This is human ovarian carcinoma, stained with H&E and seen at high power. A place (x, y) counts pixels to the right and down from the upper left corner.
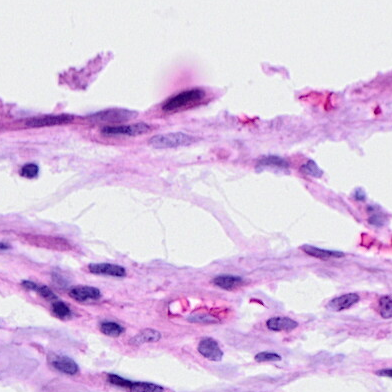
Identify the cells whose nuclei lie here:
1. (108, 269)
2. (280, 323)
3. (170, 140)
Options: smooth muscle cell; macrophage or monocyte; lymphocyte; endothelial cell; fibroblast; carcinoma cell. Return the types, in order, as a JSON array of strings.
["macrophage or monocyte", "macrophage or monocyte", "fibroblast"]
